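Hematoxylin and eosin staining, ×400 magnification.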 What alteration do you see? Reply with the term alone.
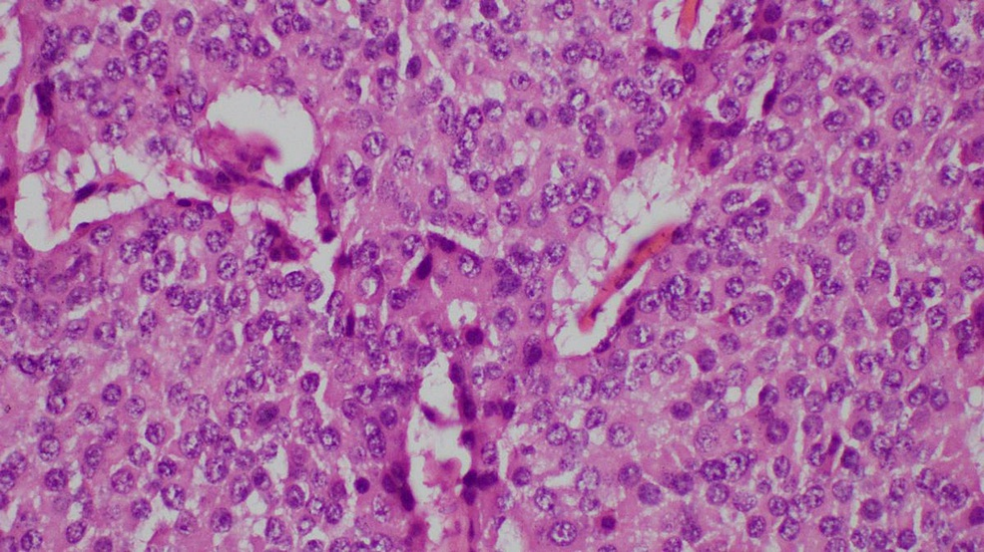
the cytoplasm is eosinophilic and moderate in amount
